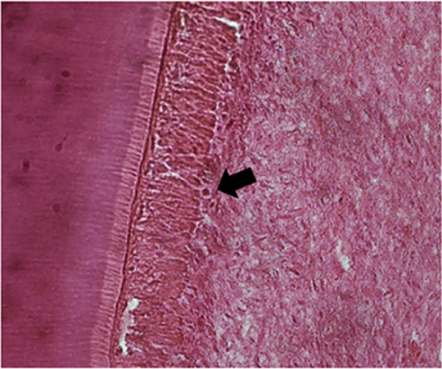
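This is pulp tissue next to a broad, dark pink band of hard tissue on the left. A layer of elongated cells separated by small clear spaces runs along the border with the hard tissue.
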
